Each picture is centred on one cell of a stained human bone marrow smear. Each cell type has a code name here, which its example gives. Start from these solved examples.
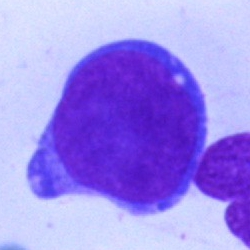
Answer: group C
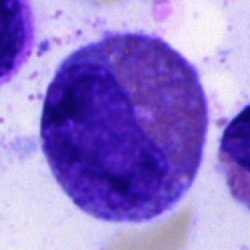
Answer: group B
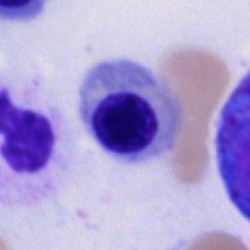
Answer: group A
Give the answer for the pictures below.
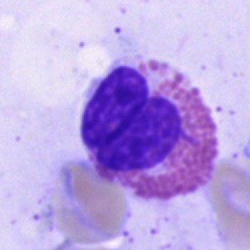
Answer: group B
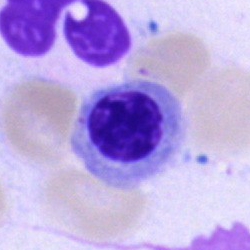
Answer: group A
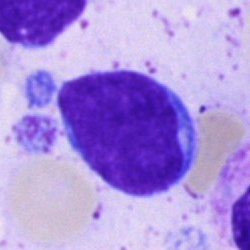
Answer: group C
